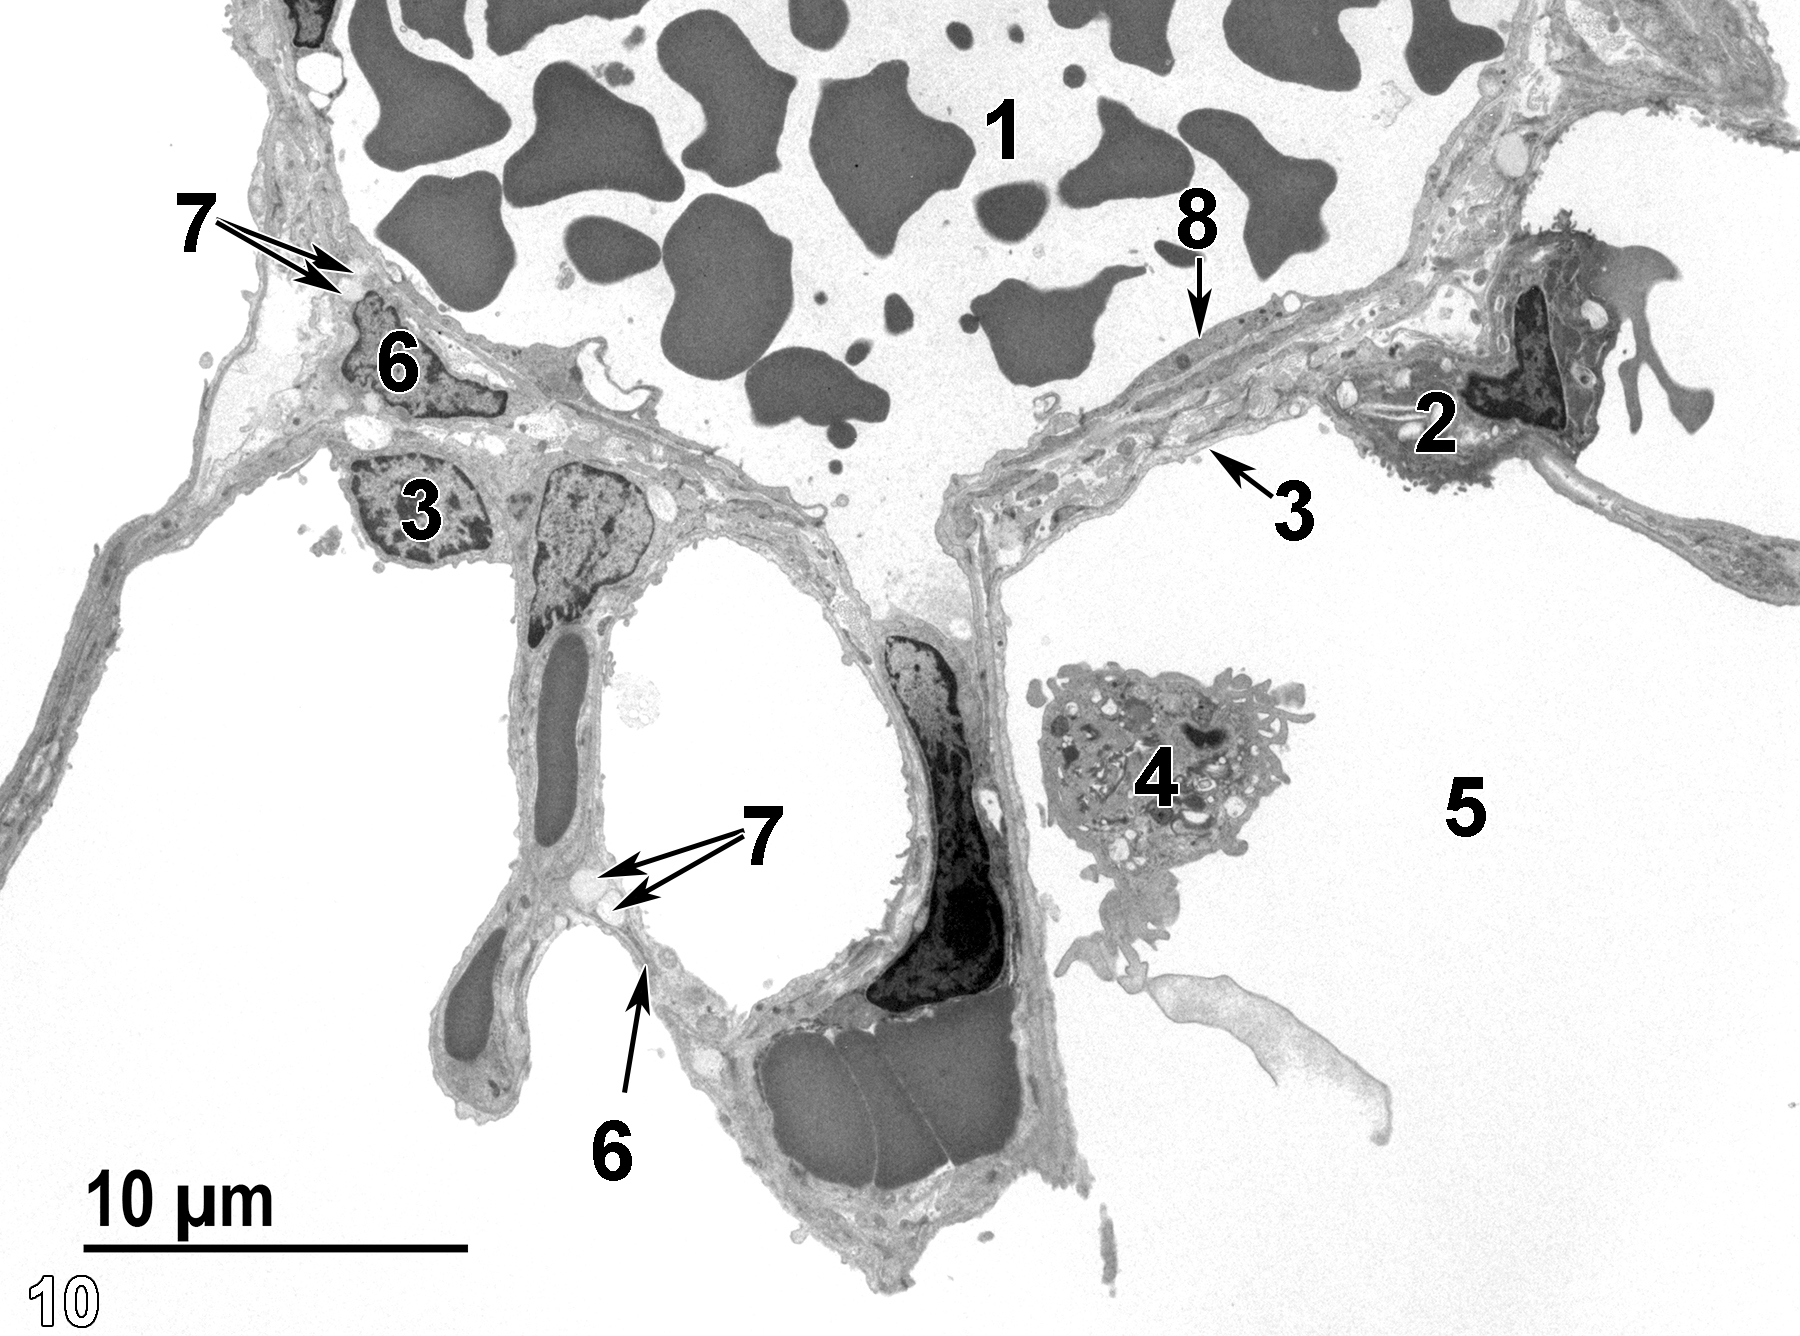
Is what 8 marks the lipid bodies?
No. The endothelial cells.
